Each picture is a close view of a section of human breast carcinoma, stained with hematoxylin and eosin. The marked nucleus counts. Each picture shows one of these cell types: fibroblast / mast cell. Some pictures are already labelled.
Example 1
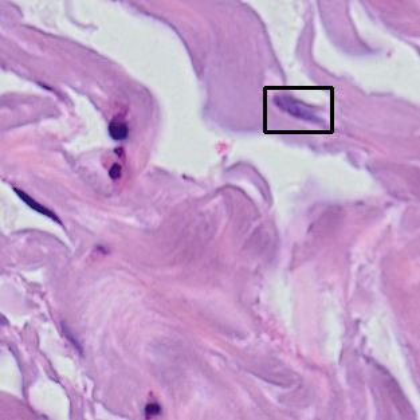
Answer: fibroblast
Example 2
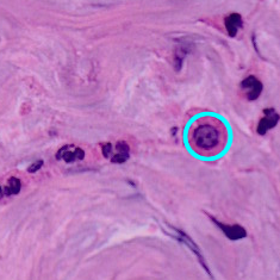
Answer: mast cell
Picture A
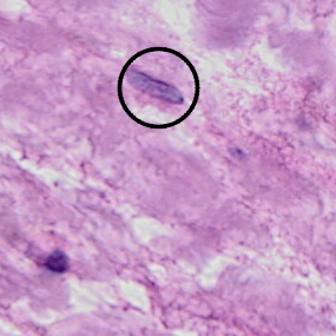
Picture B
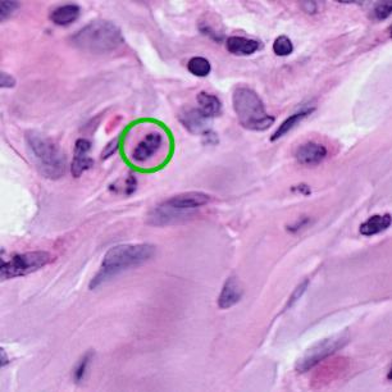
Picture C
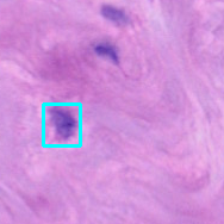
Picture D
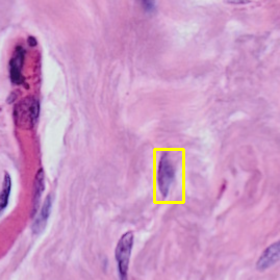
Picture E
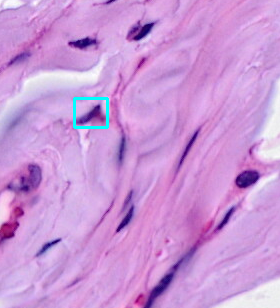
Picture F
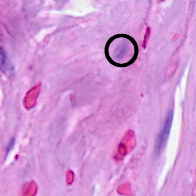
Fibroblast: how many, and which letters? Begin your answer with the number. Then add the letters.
5, namely A, C, D, E, F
